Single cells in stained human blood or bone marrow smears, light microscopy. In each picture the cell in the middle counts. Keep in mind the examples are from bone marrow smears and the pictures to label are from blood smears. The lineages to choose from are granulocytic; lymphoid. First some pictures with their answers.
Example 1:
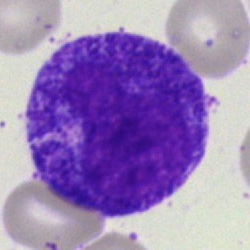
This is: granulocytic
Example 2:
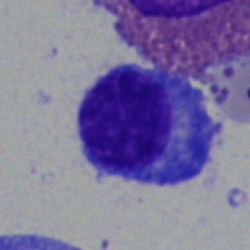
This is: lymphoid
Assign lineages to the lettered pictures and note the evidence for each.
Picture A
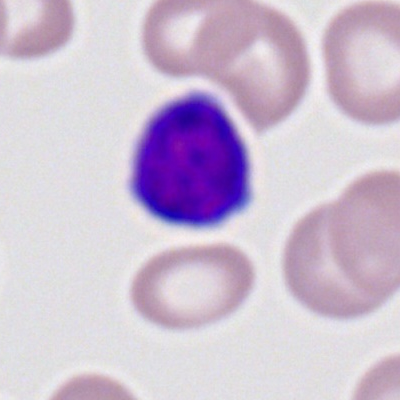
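lymphoid. Evidence: The cytoplasm is only a very thin rim at the edge of the nucleus.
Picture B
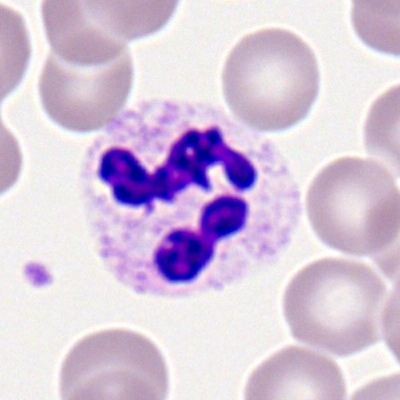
granulocytic. Evidence: The nucleus is divided into several separate lobes.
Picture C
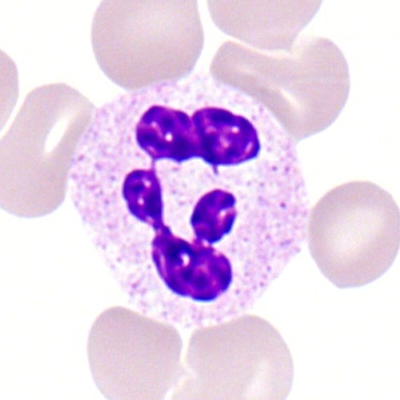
granulocytic. Evidence: The nucleus is divided into five separate lobes.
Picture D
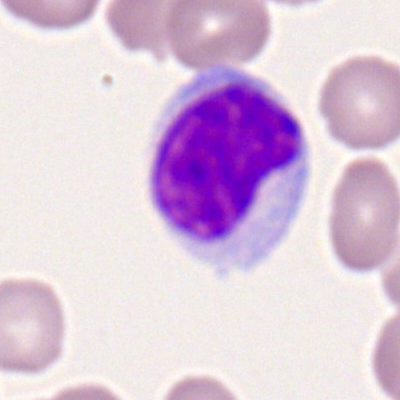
lymphoid. Evidence: The nucleus fills most of the cell.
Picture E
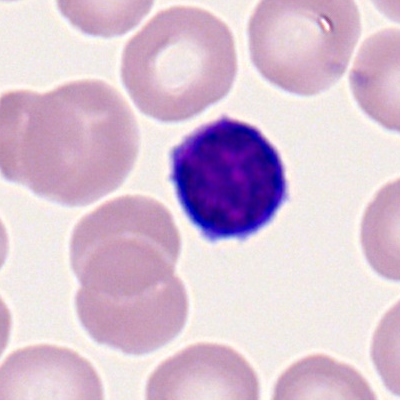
lymphoid. Evidence: Cytoplasm is scant, at most a very thin rim around the nucleus.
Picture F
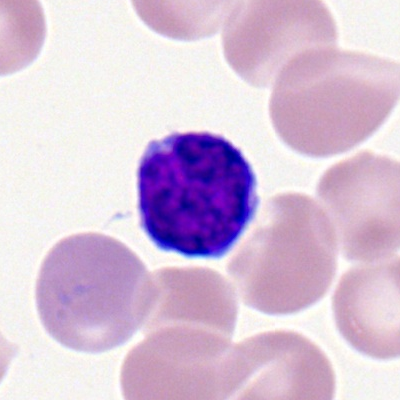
lymphoid. Evidence: The nucleus fills almost the whole cell.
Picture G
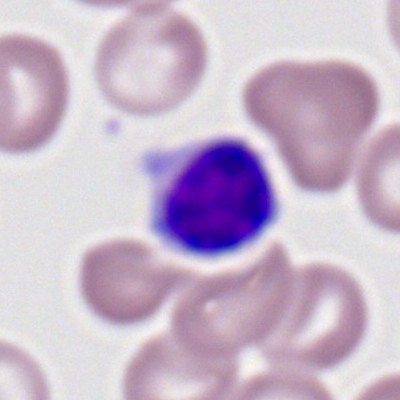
lymphoid. Evidence: The cytoplasm is scant, so the nucleus fills most of the cell.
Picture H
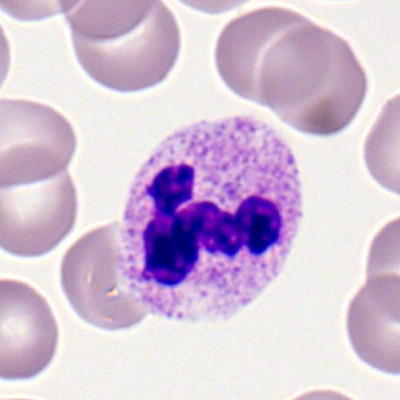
granulocytic. Evidence: The cytoplasm is abundant and pale pinkish-lilac.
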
